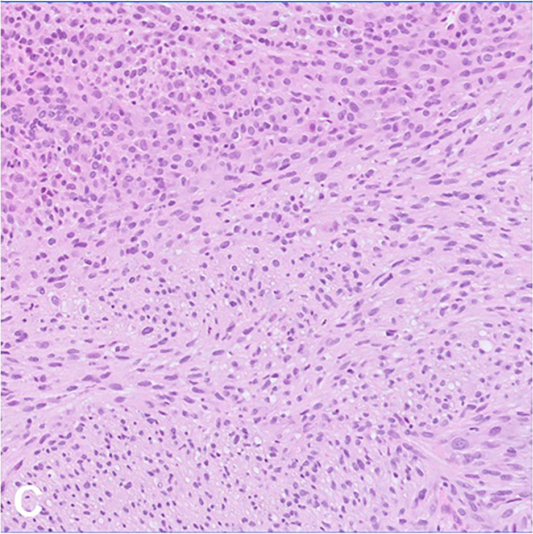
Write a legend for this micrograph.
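This tumour tissue is made of densely packed spindle and epithelioid cells intermixed with one another. Spindle cells have elongated, tapered nuclei and run in streaming bundles, while epithelioid cells, clustered toward the upper left, have plumper oval nuclei and more abundant pink cytoplasm. Very little stroma lies between the cells.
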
